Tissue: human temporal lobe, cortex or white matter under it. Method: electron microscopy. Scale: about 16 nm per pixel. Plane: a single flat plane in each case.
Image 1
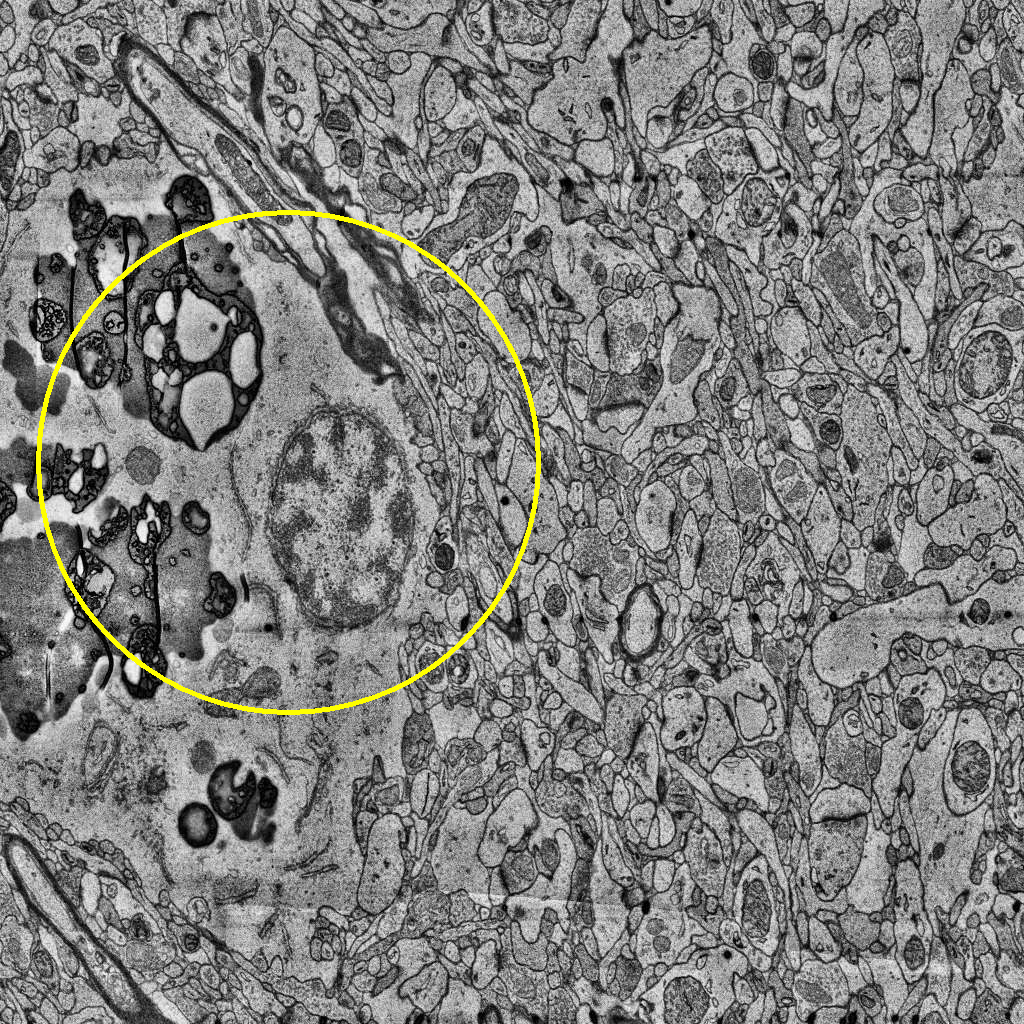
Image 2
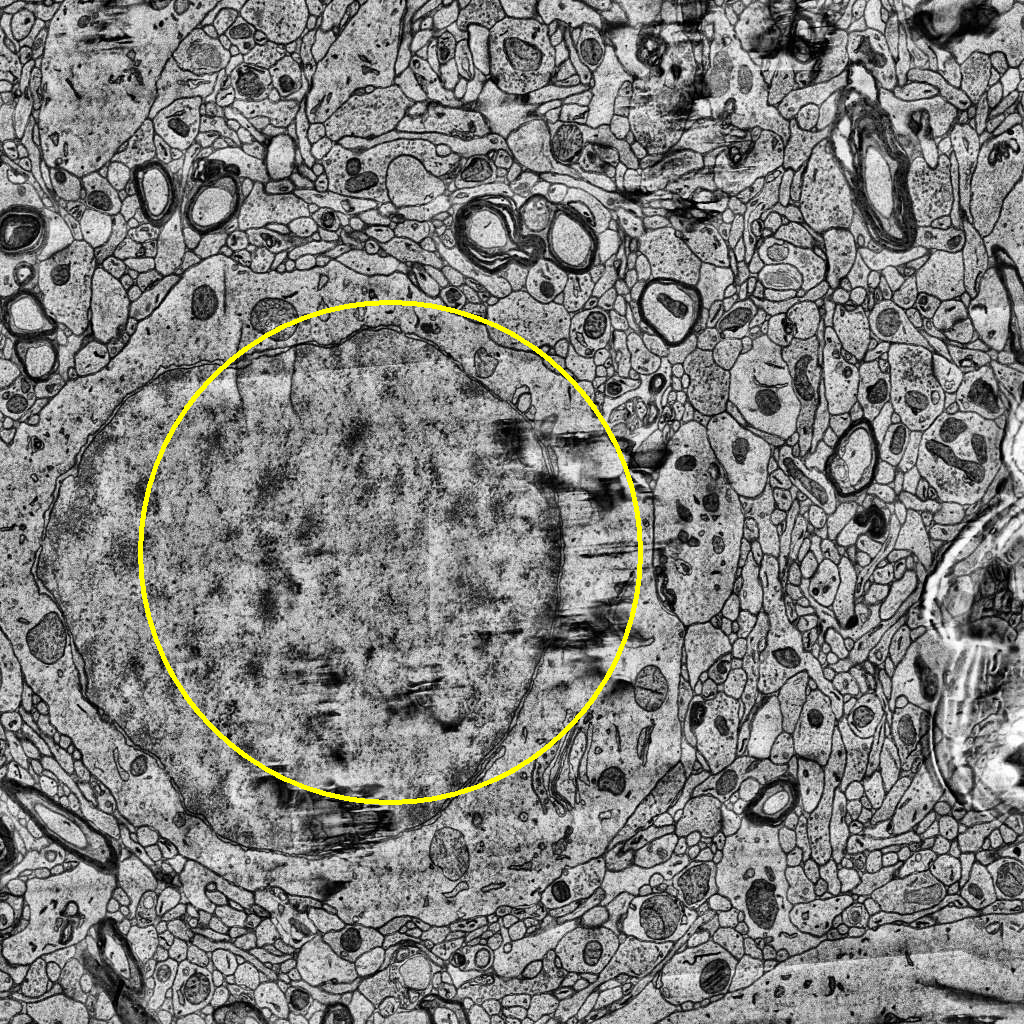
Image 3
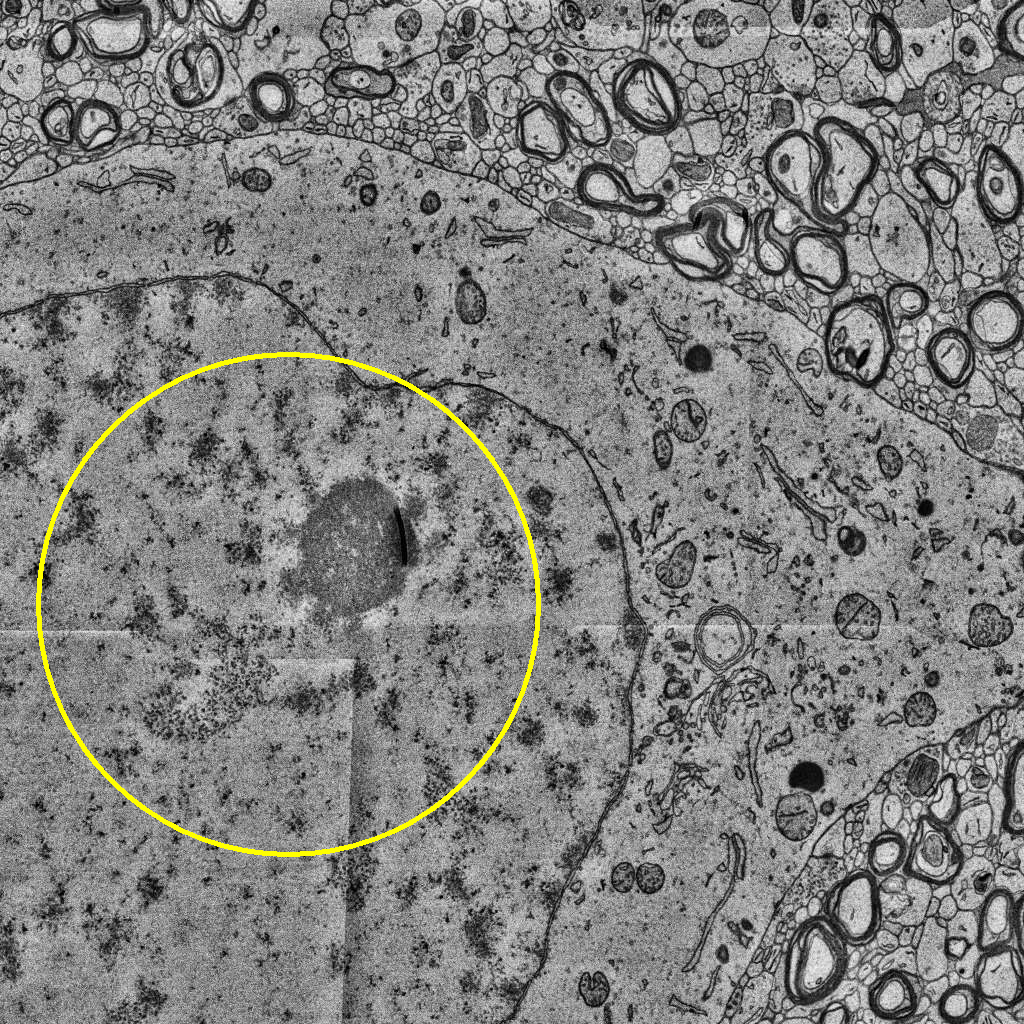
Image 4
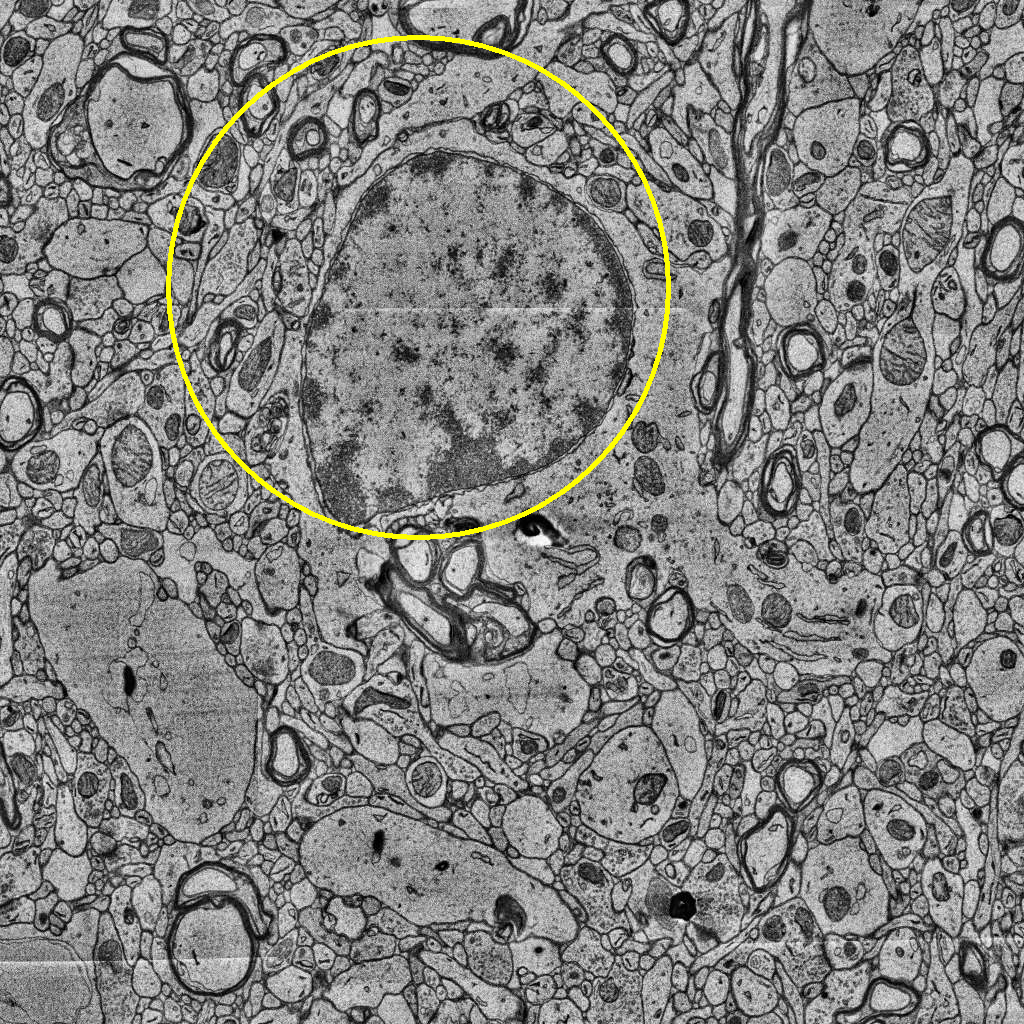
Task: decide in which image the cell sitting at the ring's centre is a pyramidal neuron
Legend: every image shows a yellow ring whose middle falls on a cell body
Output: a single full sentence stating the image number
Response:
In image 3, the cell at the middle of the ring is the match.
